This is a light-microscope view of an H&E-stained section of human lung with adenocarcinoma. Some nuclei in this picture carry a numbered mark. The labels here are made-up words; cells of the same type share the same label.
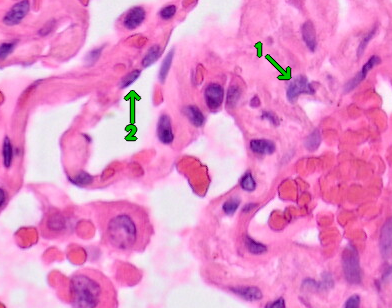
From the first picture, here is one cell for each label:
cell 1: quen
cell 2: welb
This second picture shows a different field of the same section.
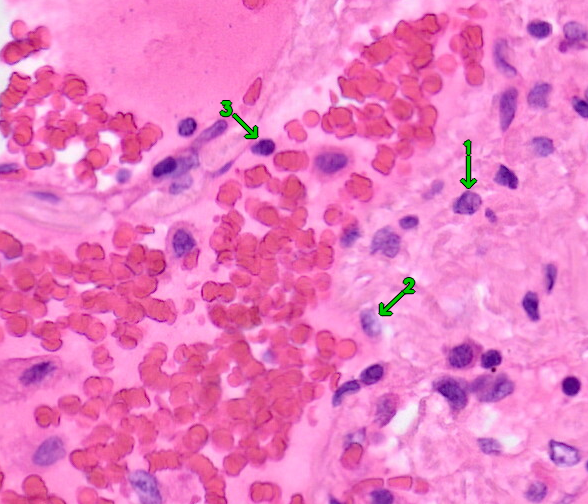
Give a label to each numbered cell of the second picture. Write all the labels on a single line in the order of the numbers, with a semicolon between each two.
quen; quen; welb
